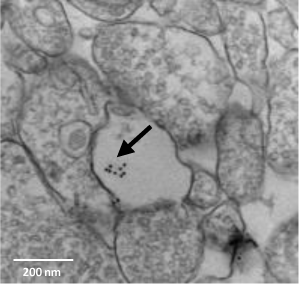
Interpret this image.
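Several terminals are packed with small round clear synaptic vesicles, often with a few mitochondria-like profiles among them. At the centre lies a pale, rounded profile with a clear interior and no vesicles, abutting vesicle-filled terminals; within it sits a tight cluster of small, very dark round gold particles. Surrounding profiles are closely packed, separated by thin membranes, with little extracellular space. A dark irregular deposit lies at the lower right edge.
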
